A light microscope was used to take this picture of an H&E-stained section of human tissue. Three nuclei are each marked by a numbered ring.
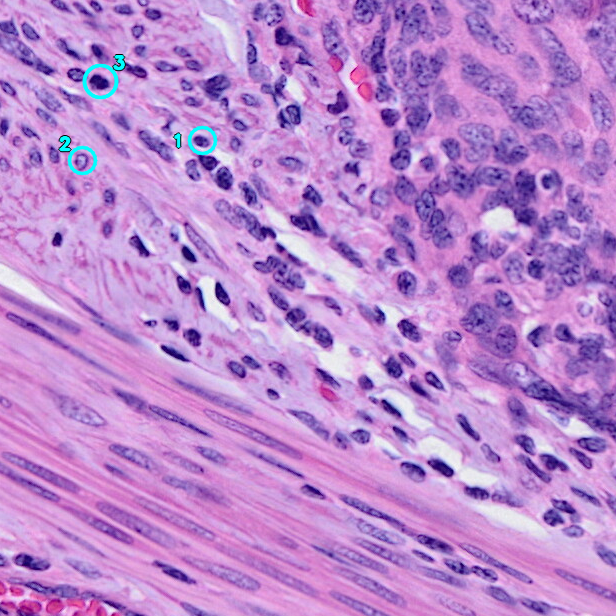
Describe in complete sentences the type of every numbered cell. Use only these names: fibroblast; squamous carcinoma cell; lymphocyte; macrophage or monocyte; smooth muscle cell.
Cell 1 is a lymphocyte, cell 2 is a smooth muscle cell and cell 3 is a lymphocyte.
